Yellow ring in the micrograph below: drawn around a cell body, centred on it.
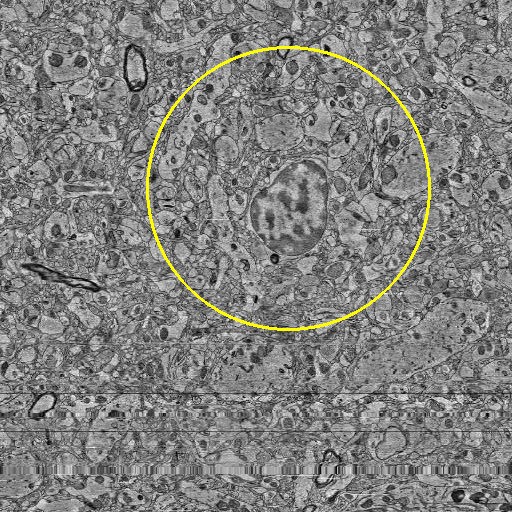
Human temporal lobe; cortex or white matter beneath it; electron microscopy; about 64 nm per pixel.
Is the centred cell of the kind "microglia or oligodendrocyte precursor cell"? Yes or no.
yes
